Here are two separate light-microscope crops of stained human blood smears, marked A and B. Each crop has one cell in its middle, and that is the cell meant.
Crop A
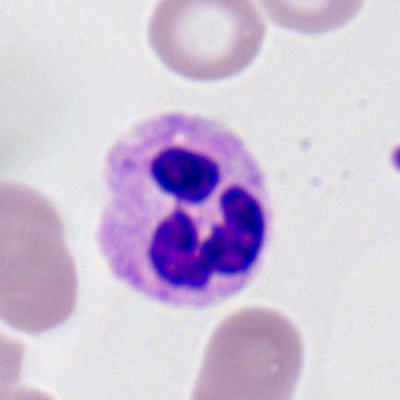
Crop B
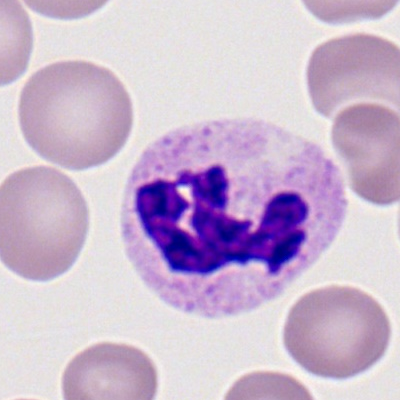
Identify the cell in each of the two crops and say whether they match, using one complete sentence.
Yes, the two crops show neutrophils, one cell each.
